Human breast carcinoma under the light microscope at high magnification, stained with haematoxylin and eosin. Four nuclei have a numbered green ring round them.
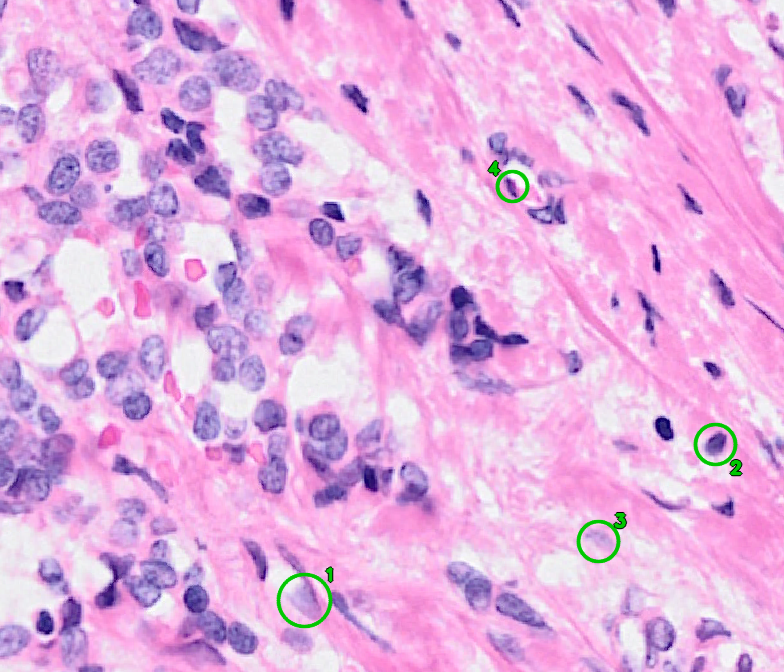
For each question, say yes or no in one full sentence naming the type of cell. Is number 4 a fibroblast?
No, the correct answer for cell 4 is an endothelial cell, not a fibroblast.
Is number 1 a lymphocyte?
No, what is marked as number 1 is an endothelial cell rather than a lymphocyte.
